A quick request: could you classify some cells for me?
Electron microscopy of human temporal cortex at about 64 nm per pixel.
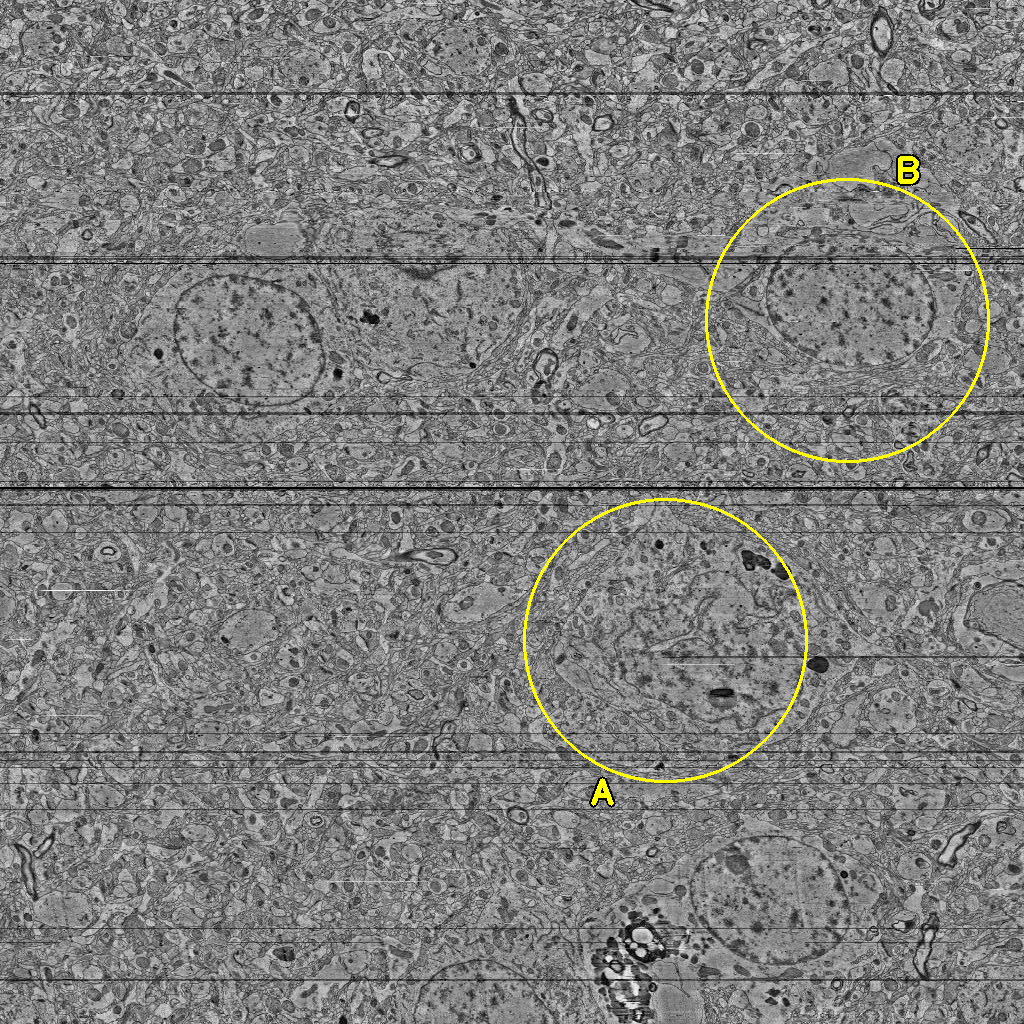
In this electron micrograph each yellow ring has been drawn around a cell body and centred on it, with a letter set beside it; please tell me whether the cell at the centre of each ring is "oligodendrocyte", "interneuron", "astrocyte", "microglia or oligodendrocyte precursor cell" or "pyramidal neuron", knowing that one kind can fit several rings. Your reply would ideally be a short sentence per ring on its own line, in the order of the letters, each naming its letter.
Ring A has an interneuron at its centre.
Ring B has an astrocyte at its centre.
